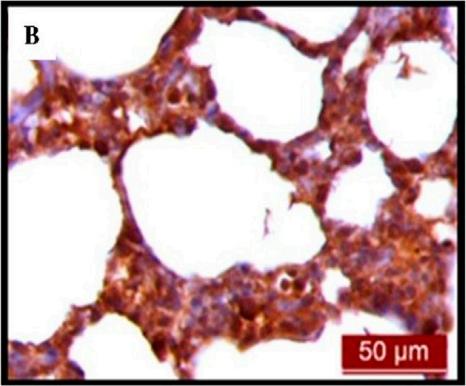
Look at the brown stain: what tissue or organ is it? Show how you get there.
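Large empty rounded air spaces are separated by cellular septa. The brown stain fills the septal walls between the air spaces.
Hence: alveolar parenchyma.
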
